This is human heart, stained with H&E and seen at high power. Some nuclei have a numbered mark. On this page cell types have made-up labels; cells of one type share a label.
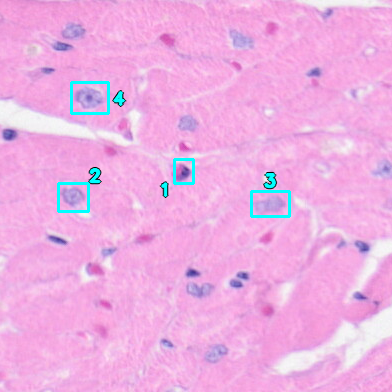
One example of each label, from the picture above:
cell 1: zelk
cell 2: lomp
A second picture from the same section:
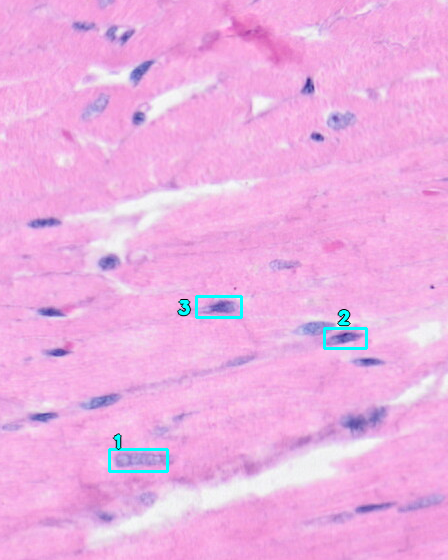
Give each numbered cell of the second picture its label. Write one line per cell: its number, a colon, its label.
1: lomp
2: zelk
3: zelk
